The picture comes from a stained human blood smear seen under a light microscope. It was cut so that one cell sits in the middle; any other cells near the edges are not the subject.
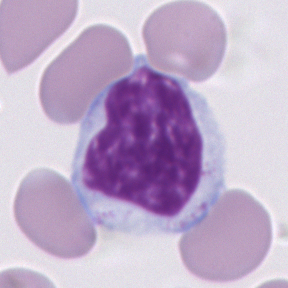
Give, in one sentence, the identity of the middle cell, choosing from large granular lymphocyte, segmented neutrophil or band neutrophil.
The middle cell in this particular crop is a large granular lymphocyte.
